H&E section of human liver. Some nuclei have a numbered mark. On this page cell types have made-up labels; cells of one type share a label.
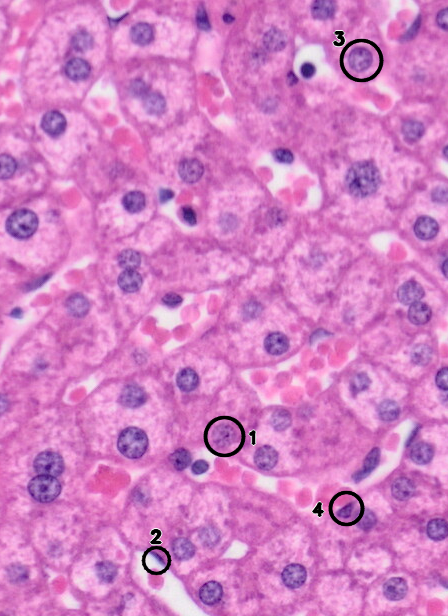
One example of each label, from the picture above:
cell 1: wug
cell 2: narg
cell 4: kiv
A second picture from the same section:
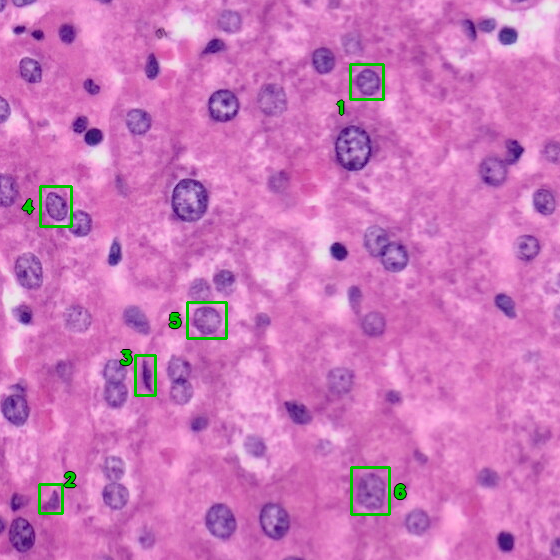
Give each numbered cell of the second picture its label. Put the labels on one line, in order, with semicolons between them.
wug; narg; kiv; wug; wug; wug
